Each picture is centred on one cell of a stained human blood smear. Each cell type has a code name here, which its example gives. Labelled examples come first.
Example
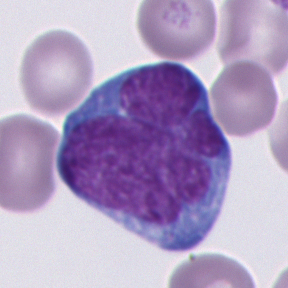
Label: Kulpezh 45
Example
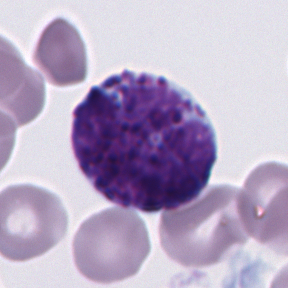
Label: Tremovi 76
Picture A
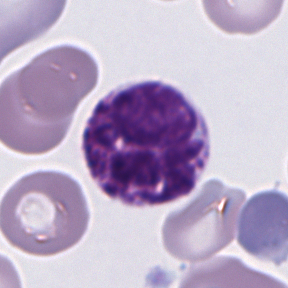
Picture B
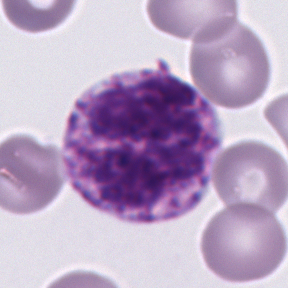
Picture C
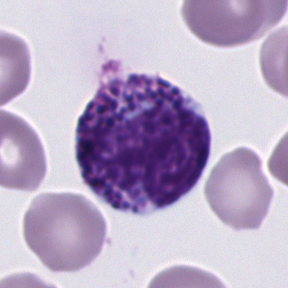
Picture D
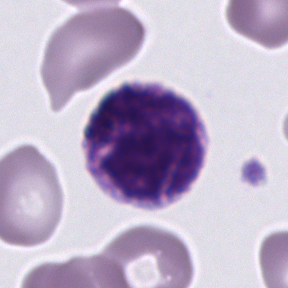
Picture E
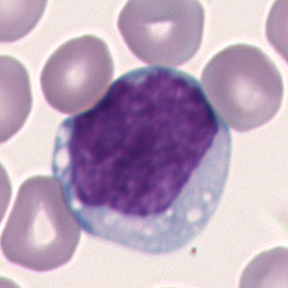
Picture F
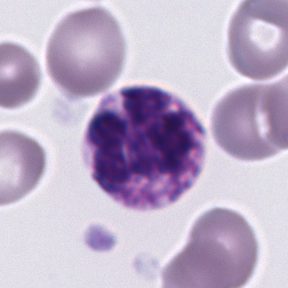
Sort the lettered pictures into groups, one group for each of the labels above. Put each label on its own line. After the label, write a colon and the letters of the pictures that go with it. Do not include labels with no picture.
Kulpezh 45: E
Tremovi 76: A, B, C, D, F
